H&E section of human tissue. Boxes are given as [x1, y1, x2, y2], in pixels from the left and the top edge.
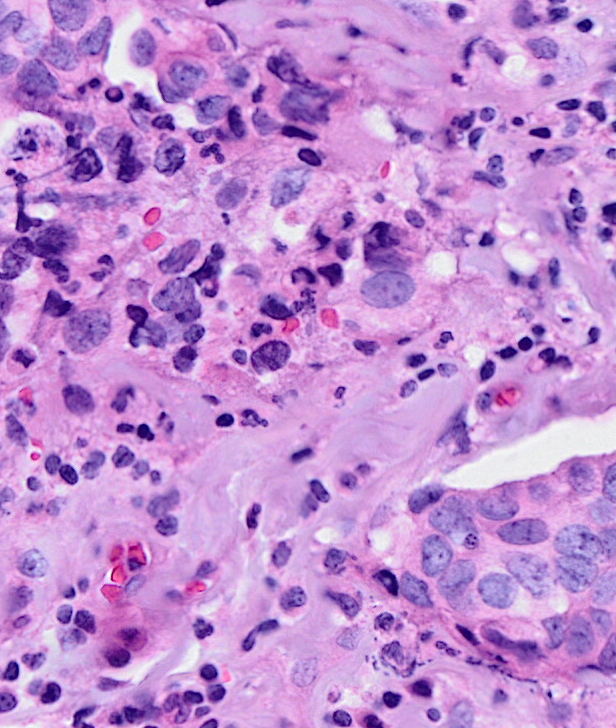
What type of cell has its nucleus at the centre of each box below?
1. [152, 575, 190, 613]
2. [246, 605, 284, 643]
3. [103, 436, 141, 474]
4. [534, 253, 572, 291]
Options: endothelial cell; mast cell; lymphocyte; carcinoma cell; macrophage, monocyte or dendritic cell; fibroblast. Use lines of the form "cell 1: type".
cell 1: endothelial cell
cell 2: lymphocyte
cell 3: lymphocyte
cell 4: lymphocyte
